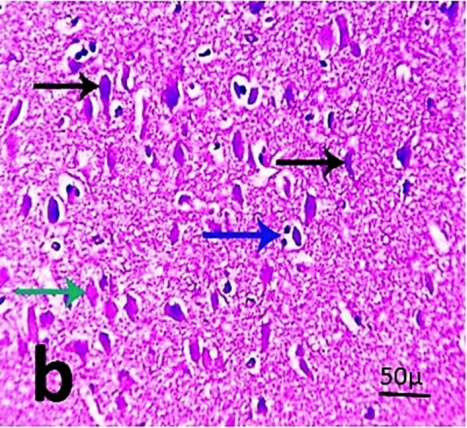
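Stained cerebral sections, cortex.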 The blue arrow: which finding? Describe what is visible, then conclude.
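Satellitosis. Several small dark round nuclei cluster around one cell body. The cluster sits in a cleared space in the neuropil.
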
